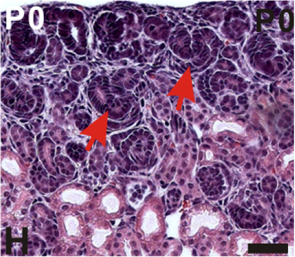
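Just beneath the capsule, densely packed cells with dark purple nuclei and scant cytoplasm form compact, curved epithelial structures, the S-shaped bodies. Deeper in the section lie more mature tubules lined by cuboidal cells with pink cytoplasm and round nuclei surrounding open, pale lumens. Thin strands of loose stroma separate these structures.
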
